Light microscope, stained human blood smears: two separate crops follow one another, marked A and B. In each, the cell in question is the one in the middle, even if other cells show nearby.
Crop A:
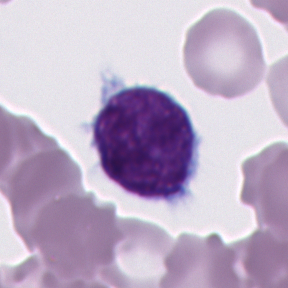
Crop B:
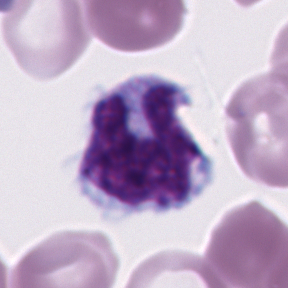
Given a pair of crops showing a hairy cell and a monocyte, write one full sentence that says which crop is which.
Crop A holds a hairy cell; a monocyte occupies crop B.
